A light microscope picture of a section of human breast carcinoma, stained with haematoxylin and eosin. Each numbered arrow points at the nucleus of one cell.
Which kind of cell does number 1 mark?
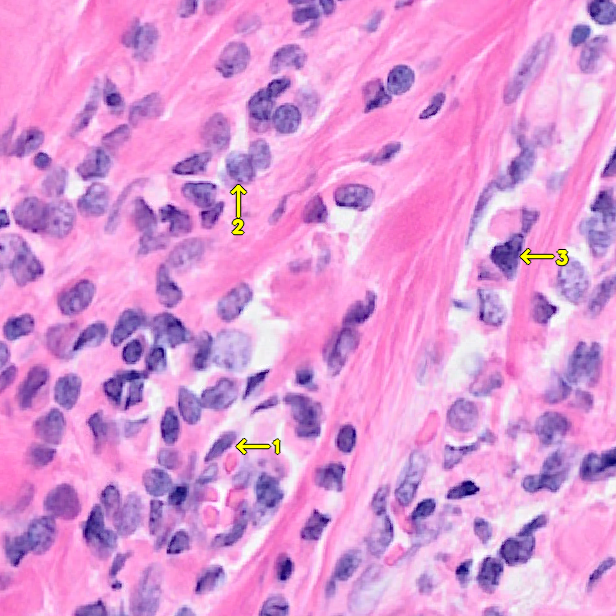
endothelial cell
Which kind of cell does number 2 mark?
carcinoma cell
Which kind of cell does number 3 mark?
carcinoma cell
